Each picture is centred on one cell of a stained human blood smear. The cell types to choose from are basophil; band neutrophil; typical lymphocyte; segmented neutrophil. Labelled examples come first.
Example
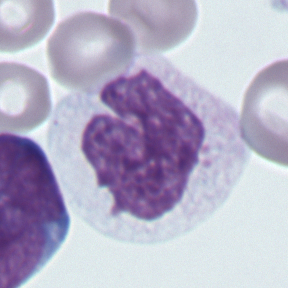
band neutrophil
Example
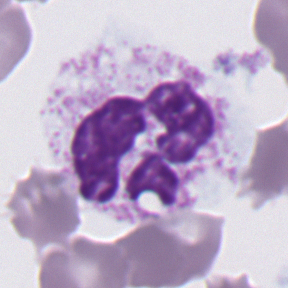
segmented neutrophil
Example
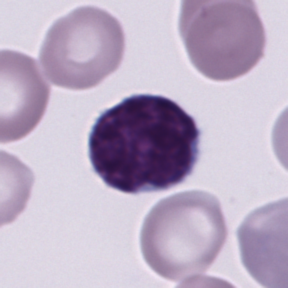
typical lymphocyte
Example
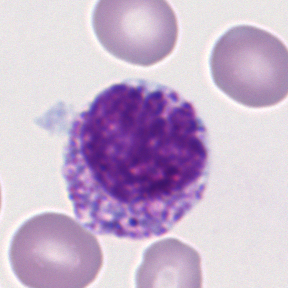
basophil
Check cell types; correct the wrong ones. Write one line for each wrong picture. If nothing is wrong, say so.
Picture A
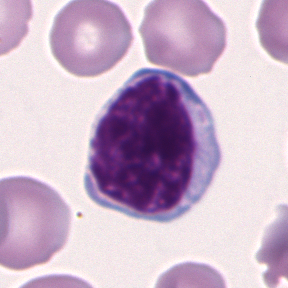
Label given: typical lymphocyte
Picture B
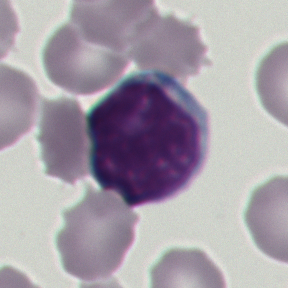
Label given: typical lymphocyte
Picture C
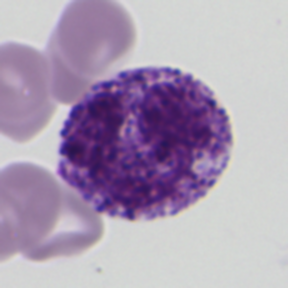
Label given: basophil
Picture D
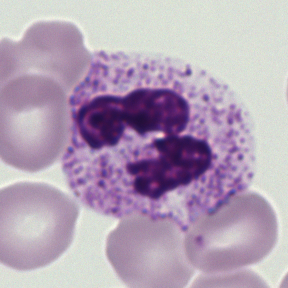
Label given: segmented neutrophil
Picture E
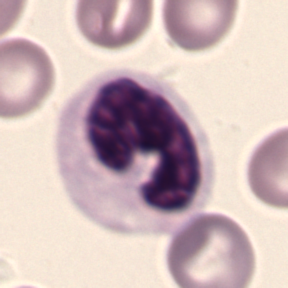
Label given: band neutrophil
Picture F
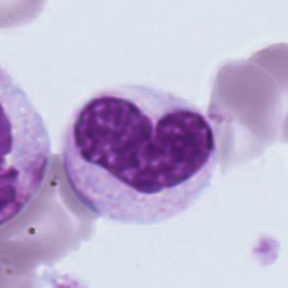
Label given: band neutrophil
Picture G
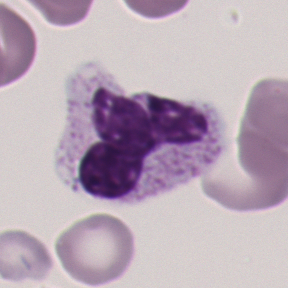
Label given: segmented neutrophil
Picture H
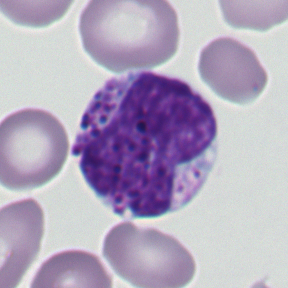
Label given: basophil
Every label is right.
